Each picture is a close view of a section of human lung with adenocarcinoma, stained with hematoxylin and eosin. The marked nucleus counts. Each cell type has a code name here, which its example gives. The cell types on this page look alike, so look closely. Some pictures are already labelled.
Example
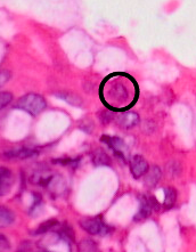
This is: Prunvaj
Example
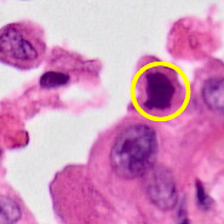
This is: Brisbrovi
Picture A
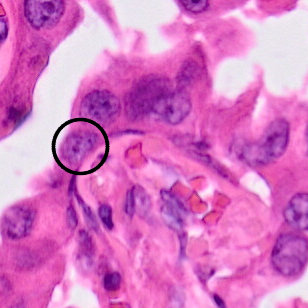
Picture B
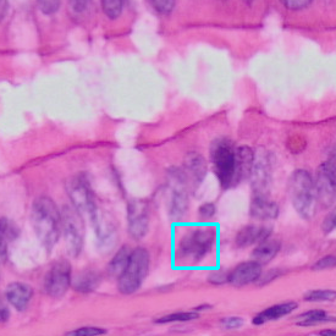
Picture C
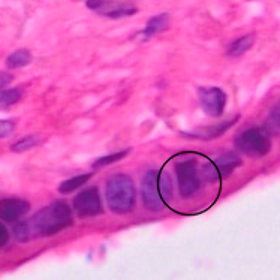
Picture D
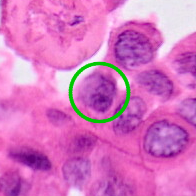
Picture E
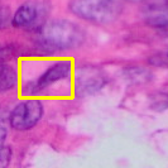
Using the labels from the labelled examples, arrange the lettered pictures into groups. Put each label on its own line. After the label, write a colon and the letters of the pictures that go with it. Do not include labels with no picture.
Prunvaj: B, C, E
Brisbrovi: A, D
